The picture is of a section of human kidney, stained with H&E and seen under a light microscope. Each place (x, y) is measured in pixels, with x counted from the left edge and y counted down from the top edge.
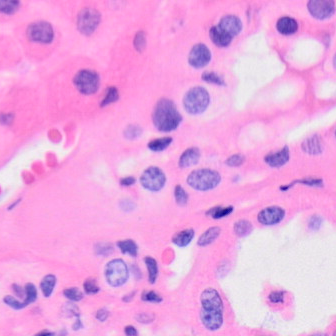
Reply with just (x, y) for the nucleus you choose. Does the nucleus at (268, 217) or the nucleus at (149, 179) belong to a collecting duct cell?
(149, 179)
